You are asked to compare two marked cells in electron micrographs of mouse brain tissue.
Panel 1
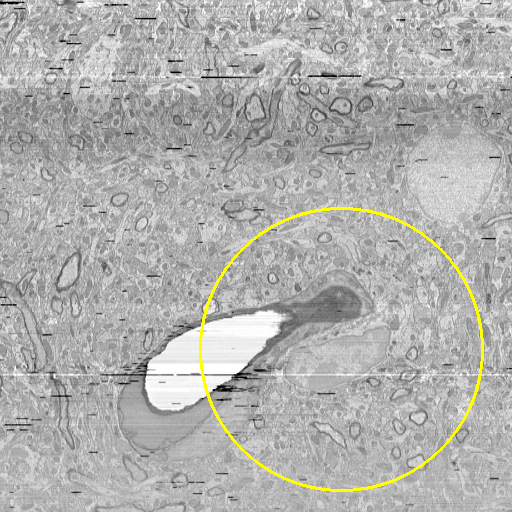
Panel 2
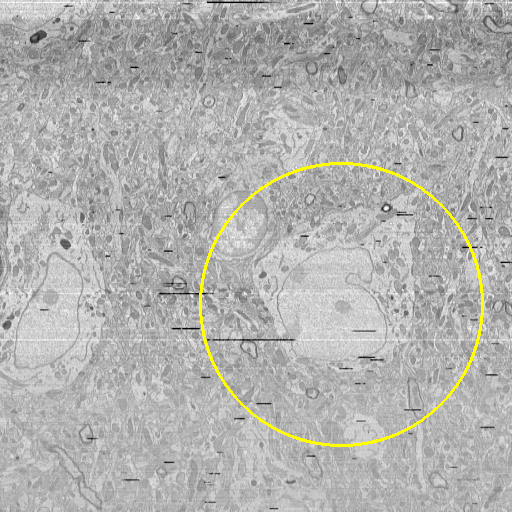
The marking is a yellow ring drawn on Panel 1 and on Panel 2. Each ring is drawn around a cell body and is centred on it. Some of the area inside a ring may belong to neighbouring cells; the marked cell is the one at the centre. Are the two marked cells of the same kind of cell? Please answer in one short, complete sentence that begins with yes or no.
No, the two marked cells are of two kinds.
